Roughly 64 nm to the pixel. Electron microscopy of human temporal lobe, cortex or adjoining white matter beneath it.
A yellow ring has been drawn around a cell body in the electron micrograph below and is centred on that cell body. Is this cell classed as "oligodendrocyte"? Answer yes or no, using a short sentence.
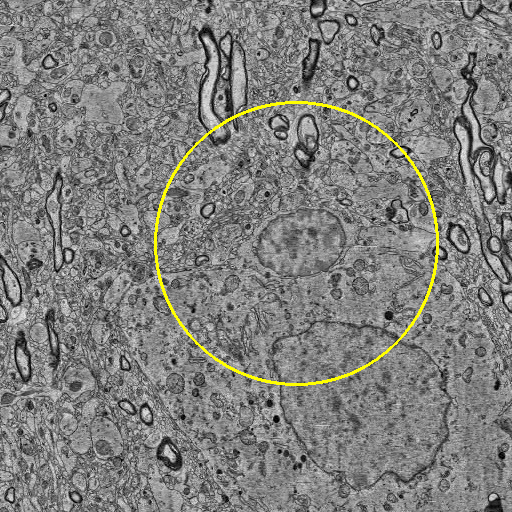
Yes, it is classed as that kind.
